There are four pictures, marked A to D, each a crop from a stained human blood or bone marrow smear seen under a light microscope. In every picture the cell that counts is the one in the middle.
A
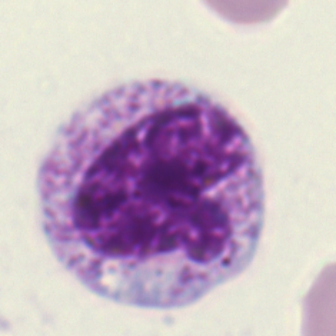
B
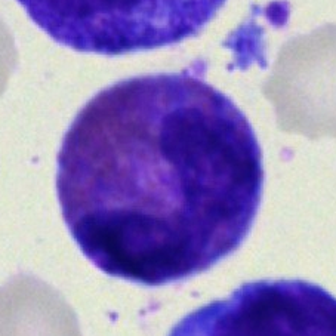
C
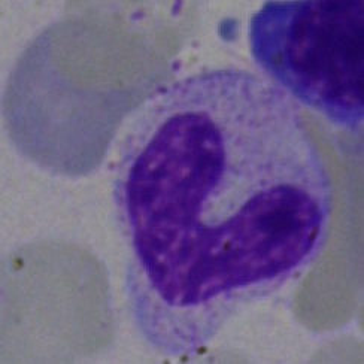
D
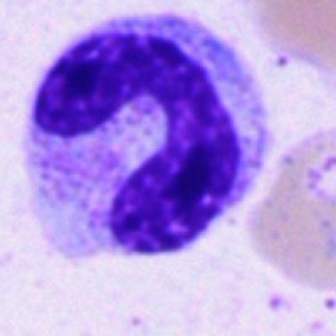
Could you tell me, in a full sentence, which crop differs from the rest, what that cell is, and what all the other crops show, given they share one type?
Only in crop B is there an eosinophil; all other crops show band neutrophils.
